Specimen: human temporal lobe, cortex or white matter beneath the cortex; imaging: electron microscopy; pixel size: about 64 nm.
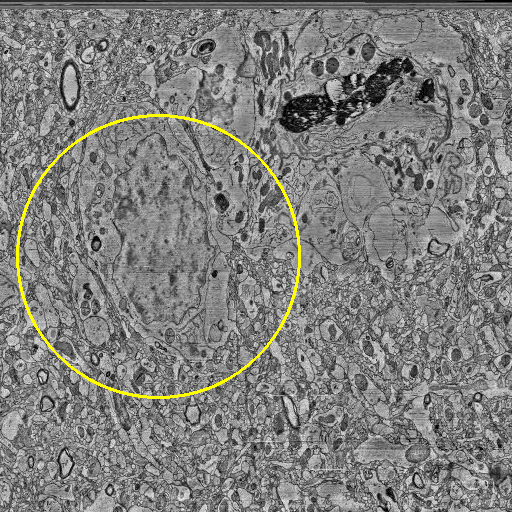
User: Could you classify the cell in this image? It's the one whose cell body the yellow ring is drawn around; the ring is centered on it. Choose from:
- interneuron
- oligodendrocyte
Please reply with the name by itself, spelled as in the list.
interneuron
